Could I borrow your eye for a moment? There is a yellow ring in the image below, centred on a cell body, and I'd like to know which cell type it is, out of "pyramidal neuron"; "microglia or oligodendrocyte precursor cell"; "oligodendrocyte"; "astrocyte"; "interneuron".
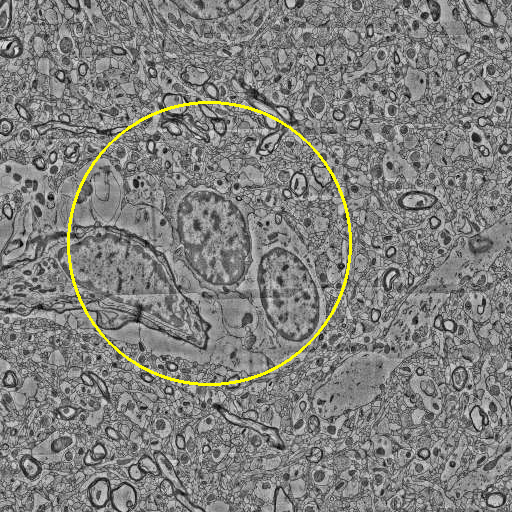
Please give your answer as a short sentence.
The cell body at the centre is that of an oligodendrocyte.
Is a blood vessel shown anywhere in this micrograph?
Yes, the image shows a blood vessel.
